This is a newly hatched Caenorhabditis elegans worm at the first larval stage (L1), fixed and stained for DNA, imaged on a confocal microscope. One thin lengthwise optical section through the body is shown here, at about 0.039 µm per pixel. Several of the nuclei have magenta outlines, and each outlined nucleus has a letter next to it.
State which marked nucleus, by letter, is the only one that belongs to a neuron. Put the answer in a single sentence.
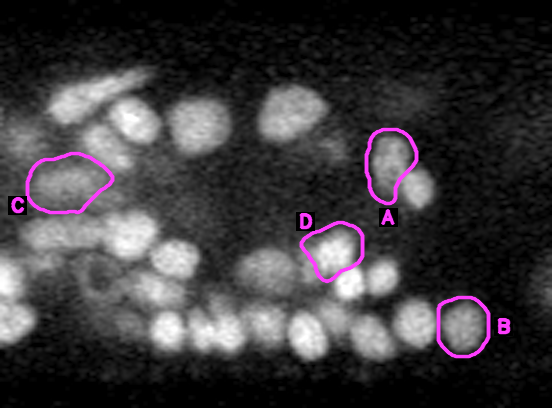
B is the nucleus of a neuron.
